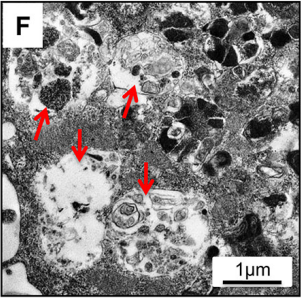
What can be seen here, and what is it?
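Cytoplasm crowded with autophagic vesicles containing various cargos, amid extensive cytoplasmic vacuolation. The vesicles hold membrane whorls, pale flocculent material and dark electron-dense fragments, and many black dense bodies lie scattered between them.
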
